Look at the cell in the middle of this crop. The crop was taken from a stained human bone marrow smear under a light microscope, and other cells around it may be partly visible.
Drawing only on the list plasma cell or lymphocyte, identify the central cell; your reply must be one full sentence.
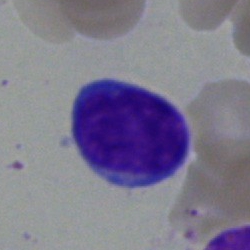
The cell occupying the middle of the crop is a lymphocyte.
